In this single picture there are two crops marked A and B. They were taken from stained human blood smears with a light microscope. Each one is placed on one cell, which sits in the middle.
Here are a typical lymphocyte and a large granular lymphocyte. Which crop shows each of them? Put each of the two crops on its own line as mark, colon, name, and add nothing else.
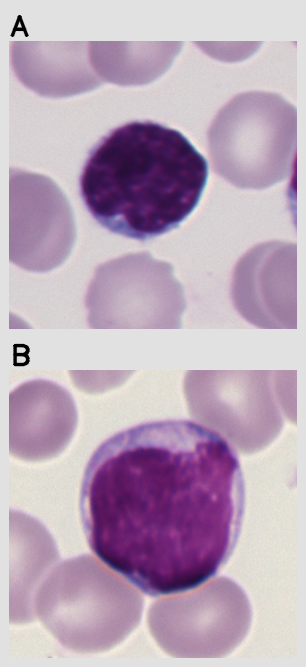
A: typical lymphocyte
B: large granular lymphocyte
